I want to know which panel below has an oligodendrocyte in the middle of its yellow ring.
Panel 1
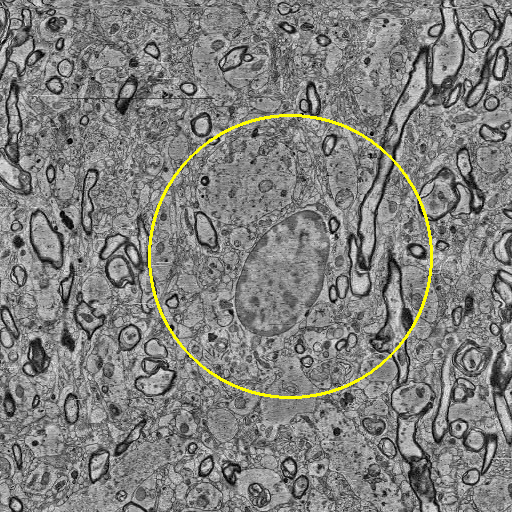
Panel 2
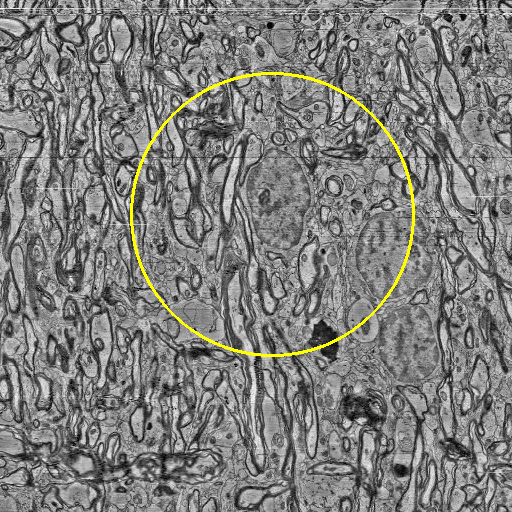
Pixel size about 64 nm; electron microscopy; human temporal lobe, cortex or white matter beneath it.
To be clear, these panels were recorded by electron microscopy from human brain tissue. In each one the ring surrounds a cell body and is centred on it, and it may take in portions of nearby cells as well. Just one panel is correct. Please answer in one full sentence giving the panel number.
Panel 2 has the requested cell sitting at the centre of its ring.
